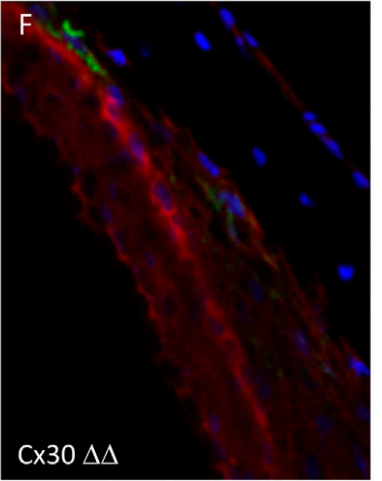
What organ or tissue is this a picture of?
stria vascularis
